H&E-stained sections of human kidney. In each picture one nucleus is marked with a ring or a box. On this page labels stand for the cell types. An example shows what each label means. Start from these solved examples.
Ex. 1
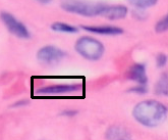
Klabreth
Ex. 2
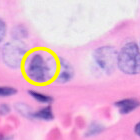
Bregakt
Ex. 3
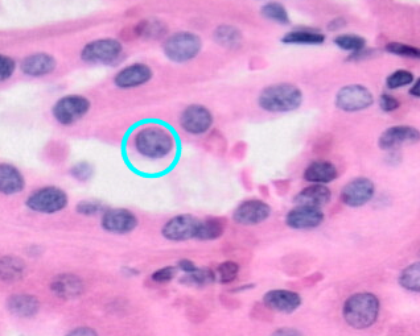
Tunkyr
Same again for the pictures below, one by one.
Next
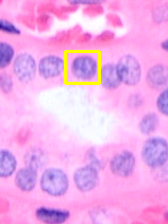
Bregakt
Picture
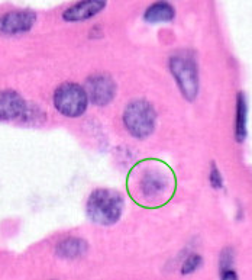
Tunkyr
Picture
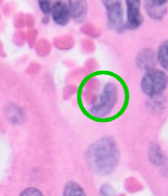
Klabreth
